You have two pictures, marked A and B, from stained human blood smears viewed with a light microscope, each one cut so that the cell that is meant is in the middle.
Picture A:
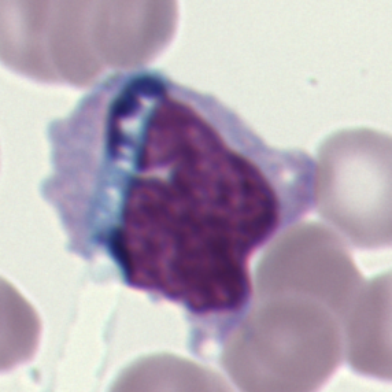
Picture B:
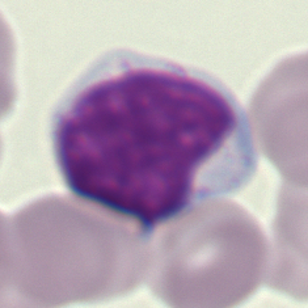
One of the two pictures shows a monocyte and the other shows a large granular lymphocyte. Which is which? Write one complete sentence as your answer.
The cell in picture A is a monocyte, and the one in picture B is a large granular lymphocyte.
